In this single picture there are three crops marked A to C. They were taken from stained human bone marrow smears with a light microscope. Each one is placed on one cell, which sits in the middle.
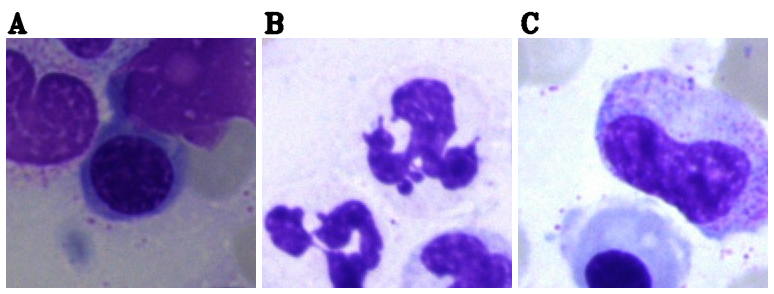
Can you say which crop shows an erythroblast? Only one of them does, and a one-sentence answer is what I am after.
Among the crops, only crop A contains an erythroblast.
